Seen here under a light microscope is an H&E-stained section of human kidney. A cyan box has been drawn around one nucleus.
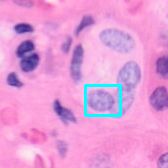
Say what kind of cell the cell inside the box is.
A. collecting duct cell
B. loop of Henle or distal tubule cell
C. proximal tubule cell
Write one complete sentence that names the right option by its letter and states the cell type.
According to option A, the cell inside the box is a collecting duct cell, and this is correct.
